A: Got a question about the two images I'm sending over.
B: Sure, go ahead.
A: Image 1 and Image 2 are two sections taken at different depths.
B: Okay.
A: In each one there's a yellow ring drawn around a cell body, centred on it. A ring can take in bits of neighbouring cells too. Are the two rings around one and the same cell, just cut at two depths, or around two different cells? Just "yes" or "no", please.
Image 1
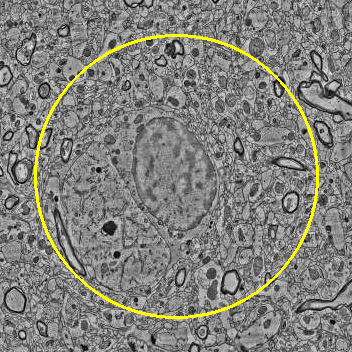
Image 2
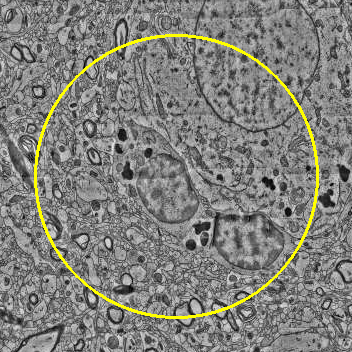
no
